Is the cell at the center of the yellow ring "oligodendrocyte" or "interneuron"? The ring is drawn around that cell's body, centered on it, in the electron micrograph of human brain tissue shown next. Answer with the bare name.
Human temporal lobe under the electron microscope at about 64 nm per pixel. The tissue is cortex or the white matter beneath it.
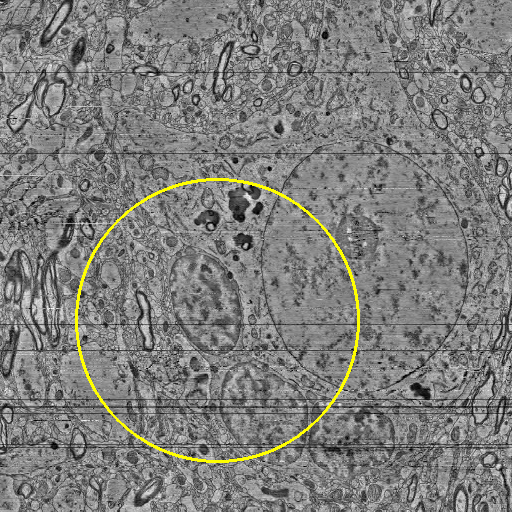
oligodendrocyte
